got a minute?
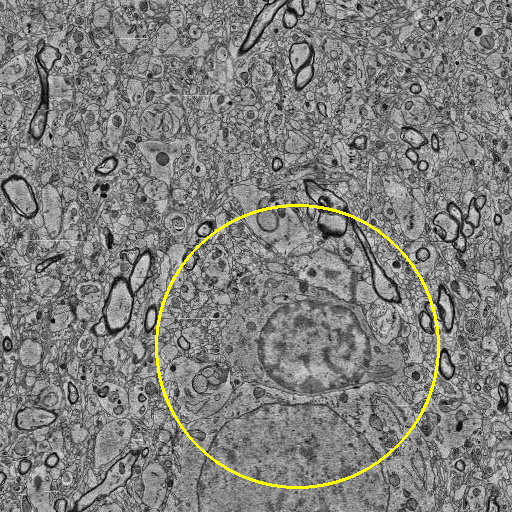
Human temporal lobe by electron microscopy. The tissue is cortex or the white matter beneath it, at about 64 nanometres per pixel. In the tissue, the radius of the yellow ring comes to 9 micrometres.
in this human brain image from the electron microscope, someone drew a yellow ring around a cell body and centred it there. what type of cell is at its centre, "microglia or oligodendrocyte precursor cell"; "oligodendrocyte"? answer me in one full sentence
It's an oligodendrocyte at the middle of that yellow ring in the shot.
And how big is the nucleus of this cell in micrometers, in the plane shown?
The ringed cell's nucleus is about 7 micrometres across in this plane.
